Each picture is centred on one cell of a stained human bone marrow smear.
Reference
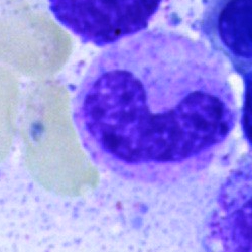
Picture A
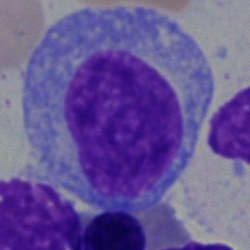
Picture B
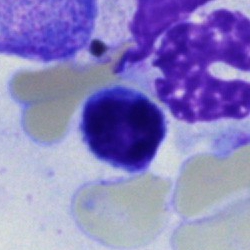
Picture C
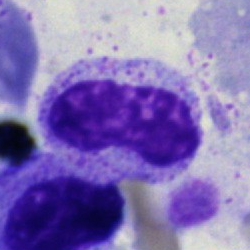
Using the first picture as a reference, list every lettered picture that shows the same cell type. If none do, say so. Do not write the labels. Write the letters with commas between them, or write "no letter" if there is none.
C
